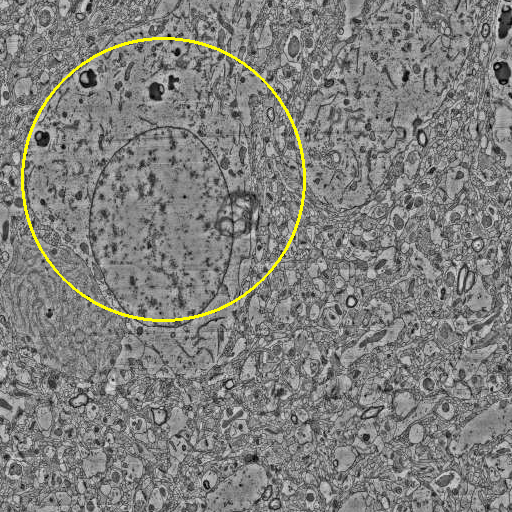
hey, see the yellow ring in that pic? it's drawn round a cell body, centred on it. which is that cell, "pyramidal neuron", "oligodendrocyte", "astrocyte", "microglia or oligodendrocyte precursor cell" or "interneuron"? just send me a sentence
The cell in the ring is a pyramidal neuron.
